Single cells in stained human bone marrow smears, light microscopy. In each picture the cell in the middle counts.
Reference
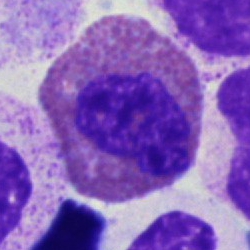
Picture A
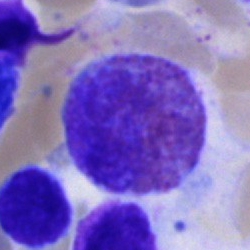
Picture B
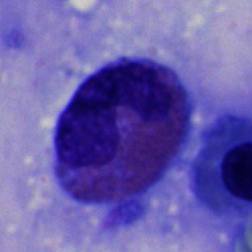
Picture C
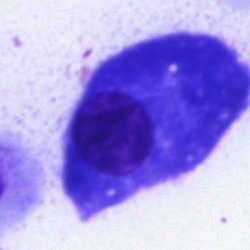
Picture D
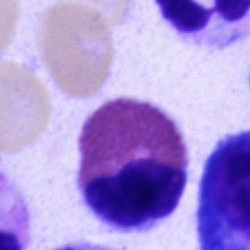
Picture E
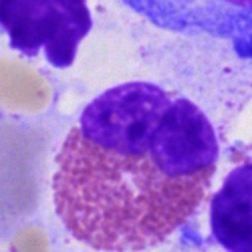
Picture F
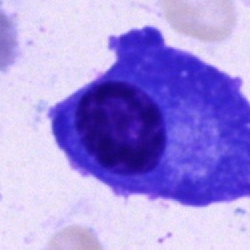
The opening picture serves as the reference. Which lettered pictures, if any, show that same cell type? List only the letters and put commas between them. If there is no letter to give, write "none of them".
A, B, D, E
